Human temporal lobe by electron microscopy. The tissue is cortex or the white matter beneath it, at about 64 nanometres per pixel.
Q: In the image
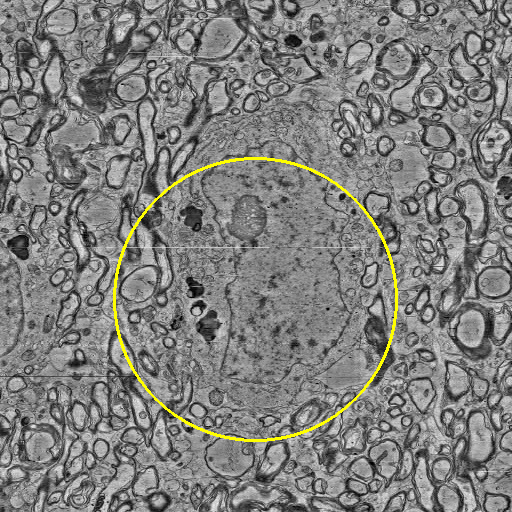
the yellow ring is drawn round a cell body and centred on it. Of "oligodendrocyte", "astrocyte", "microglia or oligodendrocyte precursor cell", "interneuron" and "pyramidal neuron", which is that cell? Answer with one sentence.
The cell centred in the ring is a pyramidal neuron.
